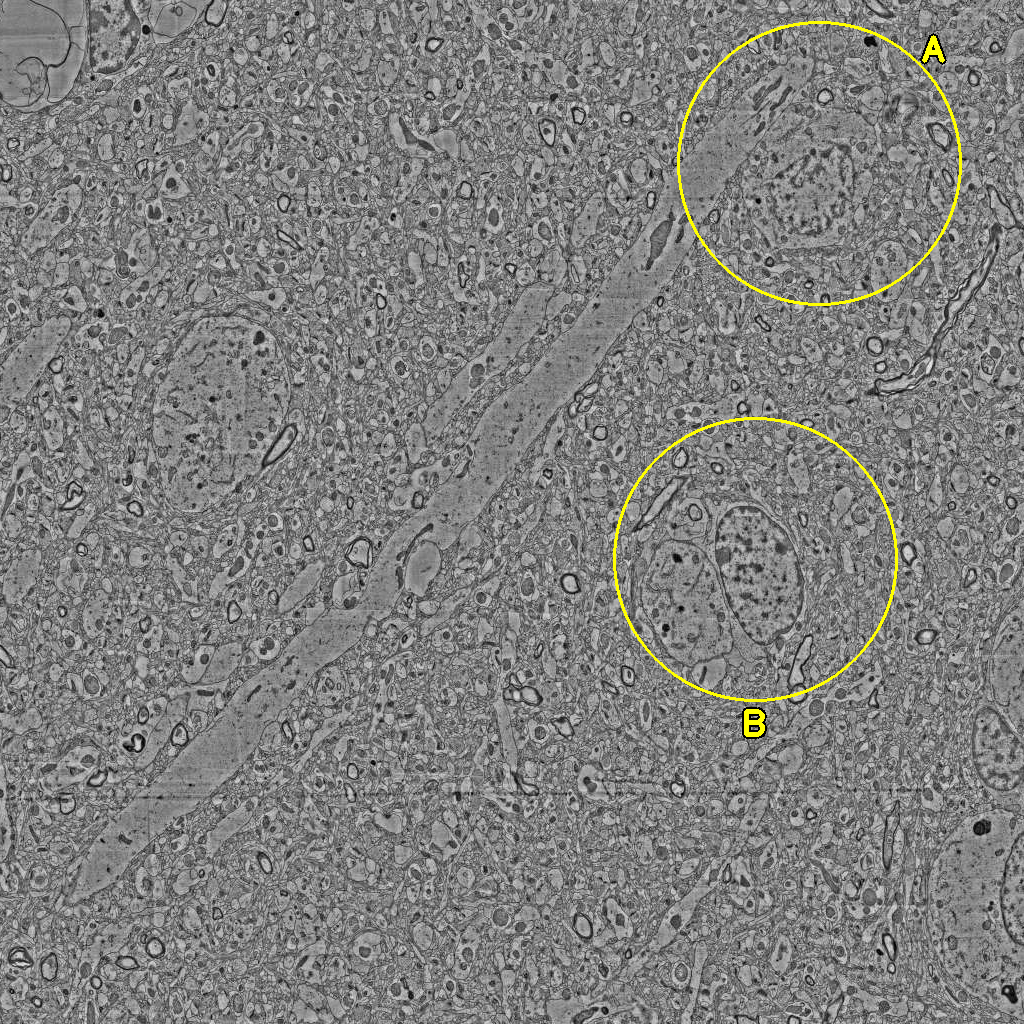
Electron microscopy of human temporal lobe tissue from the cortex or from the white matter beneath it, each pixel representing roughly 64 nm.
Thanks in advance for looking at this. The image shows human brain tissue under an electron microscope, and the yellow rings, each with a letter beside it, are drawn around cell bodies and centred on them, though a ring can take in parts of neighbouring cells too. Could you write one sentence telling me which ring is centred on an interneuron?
Ring A is centred on it.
